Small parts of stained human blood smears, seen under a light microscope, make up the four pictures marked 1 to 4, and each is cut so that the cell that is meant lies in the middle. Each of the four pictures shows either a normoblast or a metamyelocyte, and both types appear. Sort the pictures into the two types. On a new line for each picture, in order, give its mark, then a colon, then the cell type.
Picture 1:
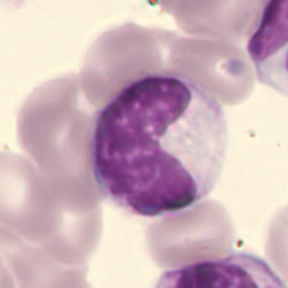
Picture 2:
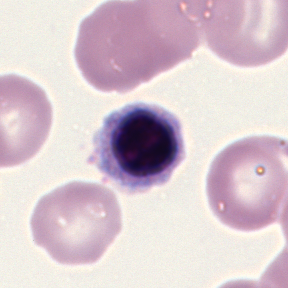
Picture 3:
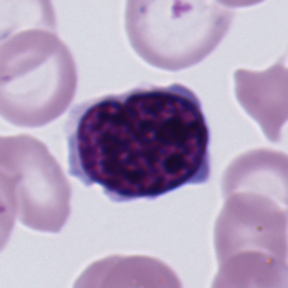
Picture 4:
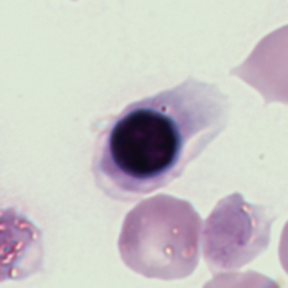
1: metamyelocyte
2: normoblast
3: normoblast
4: normoblast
